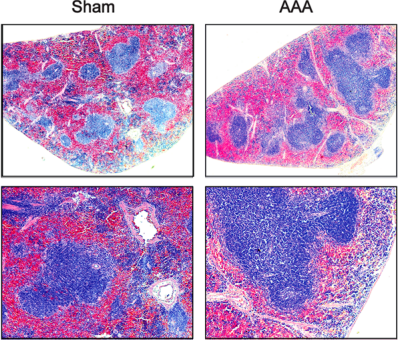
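These are sections of spleen at low and higher magnification, showing rounded splenic follicles as dark blue-purple nodules of densely packed small lymphocytes set in red-staining surrounding tissue. In the right-hand column the follicles look larger and more crowded together than in the left-hand column.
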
